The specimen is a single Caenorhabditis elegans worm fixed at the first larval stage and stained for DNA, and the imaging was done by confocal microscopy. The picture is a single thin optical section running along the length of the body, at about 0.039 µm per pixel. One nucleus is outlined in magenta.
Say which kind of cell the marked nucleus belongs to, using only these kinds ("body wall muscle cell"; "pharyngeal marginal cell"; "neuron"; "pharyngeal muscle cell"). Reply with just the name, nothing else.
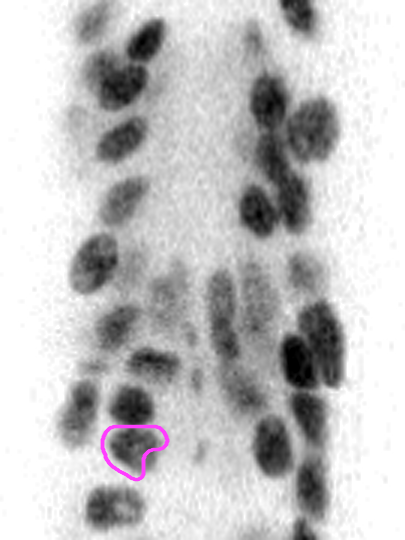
pharyngeal muscle cell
